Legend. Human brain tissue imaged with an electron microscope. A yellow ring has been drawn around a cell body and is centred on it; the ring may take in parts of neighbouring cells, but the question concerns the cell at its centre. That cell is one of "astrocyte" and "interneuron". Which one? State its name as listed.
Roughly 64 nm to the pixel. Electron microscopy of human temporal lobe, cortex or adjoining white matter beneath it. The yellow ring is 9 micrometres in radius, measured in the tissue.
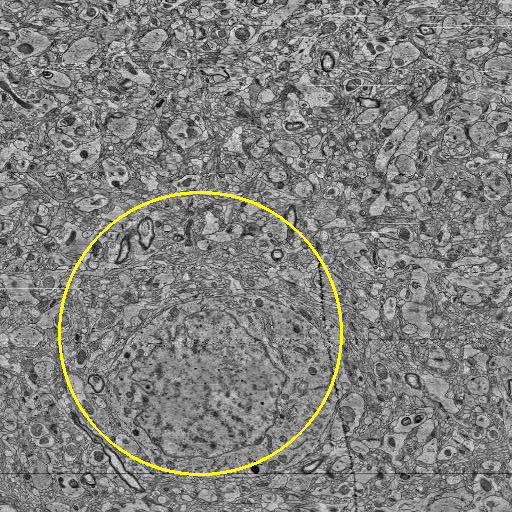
interneuron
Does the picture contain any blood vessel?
No, there is no blood vessel.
